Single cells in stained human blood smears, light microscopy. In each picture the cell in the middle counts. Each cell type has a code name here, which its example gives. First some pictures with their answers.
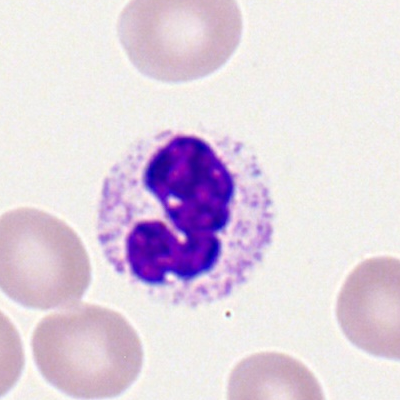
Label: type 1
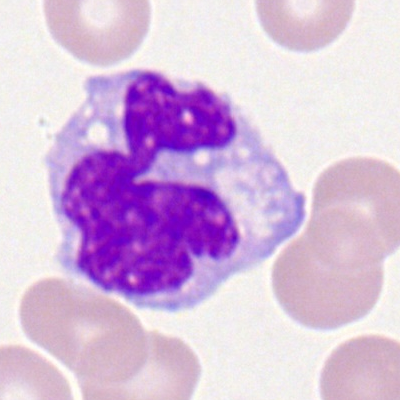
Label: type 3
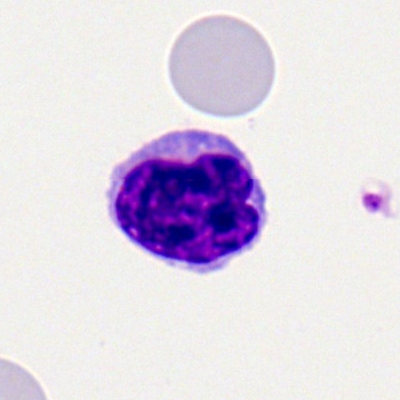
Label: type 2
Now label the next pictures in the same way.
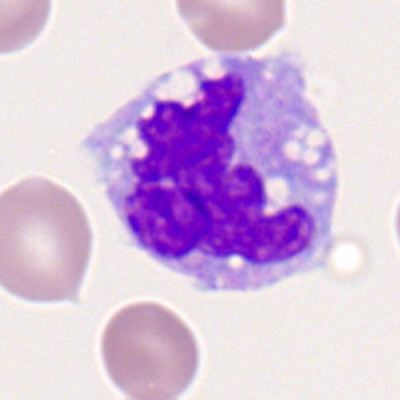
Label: type 3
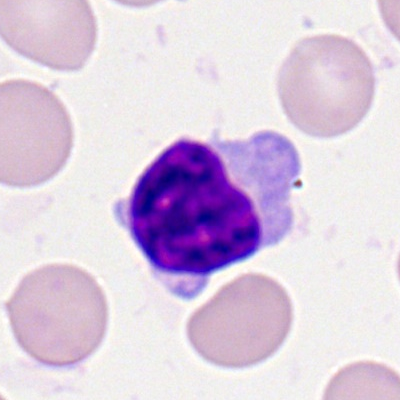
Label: type 2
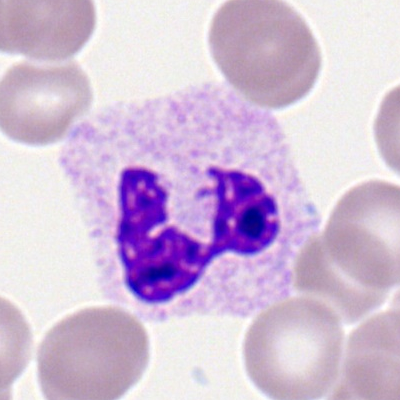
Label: type 1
